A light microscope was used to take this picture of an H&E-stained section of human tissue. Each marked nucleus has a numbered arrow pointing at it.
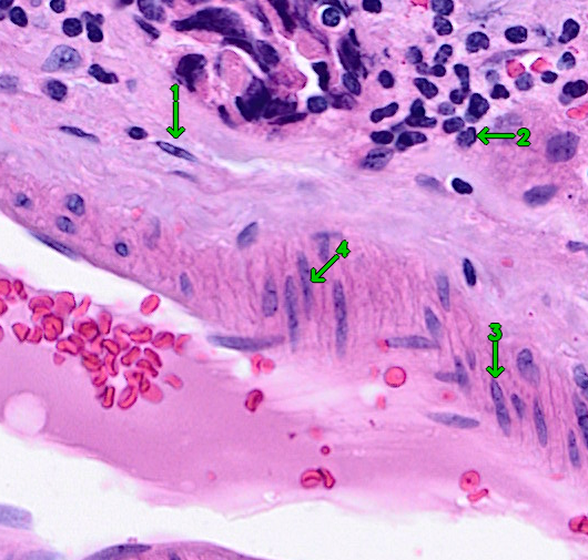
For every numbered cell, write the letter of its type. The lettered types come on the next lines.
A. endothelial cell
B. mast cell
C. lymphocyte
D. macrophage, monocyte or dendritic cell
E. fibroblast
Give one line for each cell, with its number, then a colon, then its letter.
1: E
2: C
3: A
4: A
